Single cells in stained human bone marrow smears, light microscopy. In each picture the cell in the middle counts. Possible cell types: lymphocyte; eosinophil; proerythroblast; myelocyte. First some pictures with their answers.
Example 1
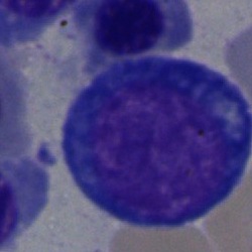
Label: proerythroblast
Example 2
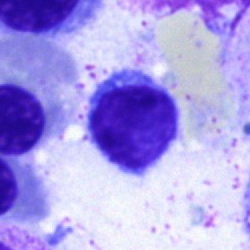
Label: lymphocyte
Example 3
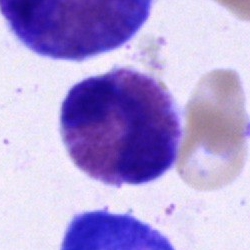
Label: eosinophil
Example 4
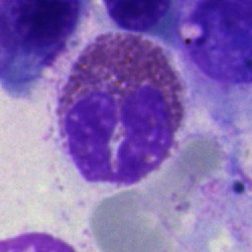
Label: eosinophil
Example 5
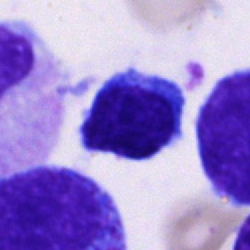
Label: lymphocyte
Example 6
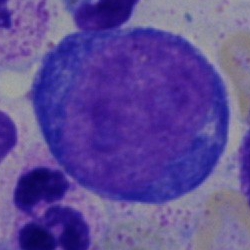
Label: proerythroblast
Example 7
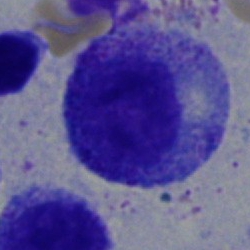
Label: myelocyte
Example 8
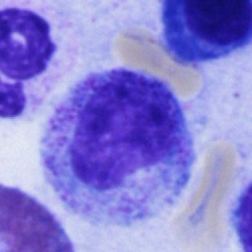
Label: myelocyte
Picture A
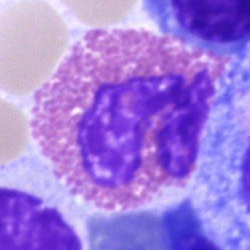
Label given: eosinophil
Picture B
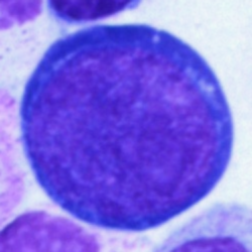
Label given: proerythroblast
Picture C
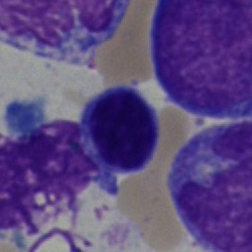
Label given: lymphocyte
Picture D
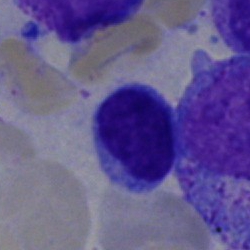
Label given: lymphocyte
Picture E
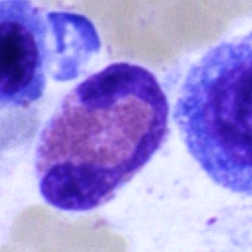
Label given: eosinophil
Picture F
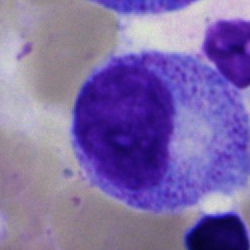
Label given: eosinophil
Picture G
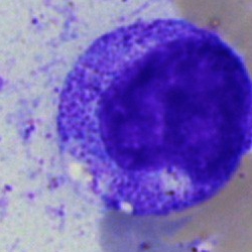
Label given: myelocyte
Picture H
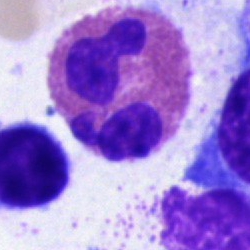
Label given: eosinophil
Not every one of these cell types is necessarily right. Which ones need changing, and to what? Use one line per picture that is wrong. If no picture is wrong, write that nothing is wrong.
F: change eosinophil to myelocyte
